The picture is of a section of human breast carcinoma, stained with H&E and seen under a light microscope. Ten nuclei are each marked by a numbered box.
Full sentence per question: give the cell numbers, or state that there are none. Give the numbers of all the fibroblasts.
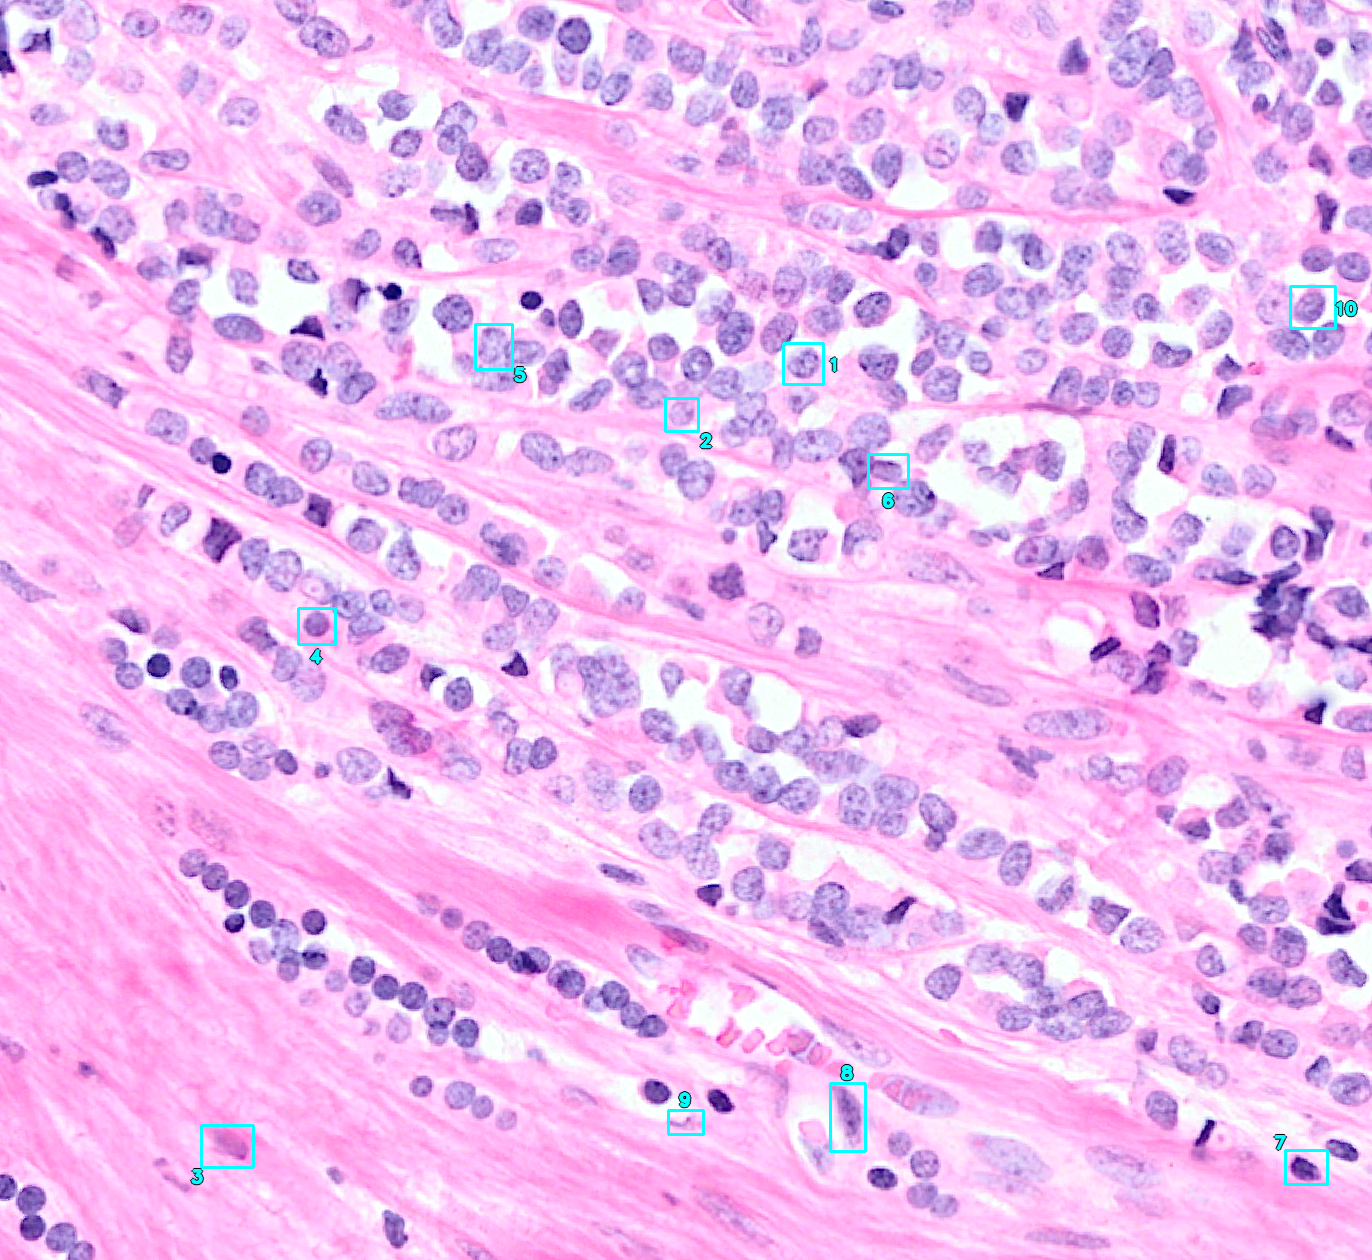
In this section, the cells numbered 3 and 9 are fibroblasts.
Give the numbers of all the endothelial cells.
Among the labelled cells, only the cell labelled 8 is an endothelial cell.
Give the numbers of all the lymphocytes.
The nucleus numbered 7 is the only one that belongs to a lymphocyte.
